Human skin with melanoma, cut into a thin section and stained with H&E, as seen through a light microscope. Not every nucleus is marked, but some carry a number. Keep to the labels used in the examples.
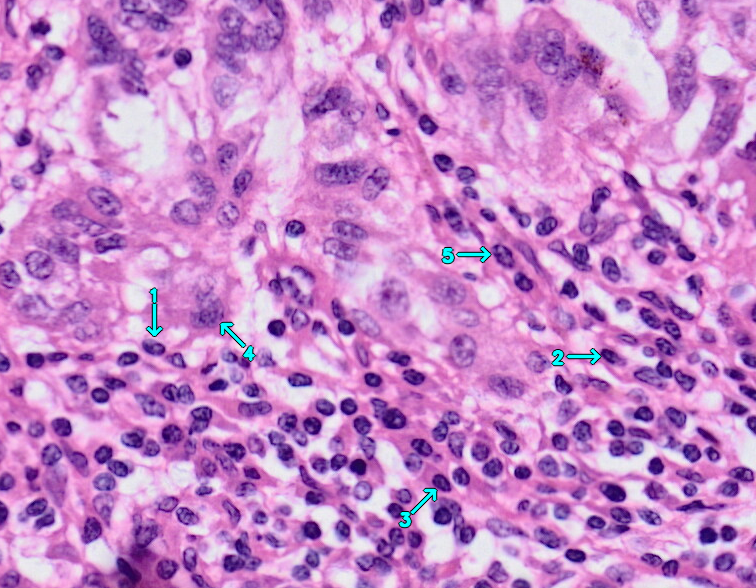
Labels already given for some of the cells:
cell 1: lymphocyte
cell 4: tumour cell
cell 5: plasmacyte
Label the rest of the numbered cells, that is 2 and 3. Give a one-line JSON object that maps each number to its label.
{"2": "plasmacyte", "3": "plasmacyte"}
